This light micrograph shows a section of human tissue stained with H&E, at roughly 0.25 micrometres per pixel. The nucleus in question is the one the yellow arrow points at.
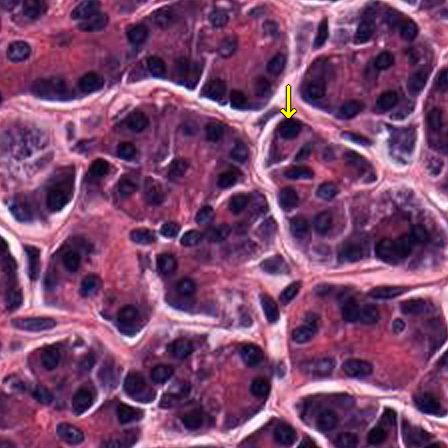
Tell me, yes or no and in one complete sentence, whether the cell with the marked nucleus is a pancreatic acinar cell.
Yes, it is the nucleus of a pancreatic acinar cell that has been marked.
